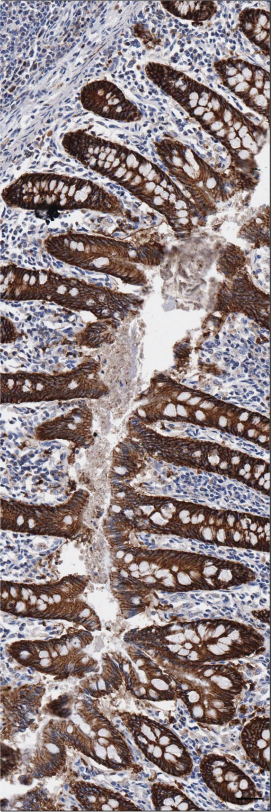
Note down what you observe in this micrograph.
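Colonic mucosa with elongated crypts whose epithelial lining is stained an intense dark brown, interrupted by many clear round mucus vacuoles. The lamina propria between the crypts is crowded with blue-stained nuclei, and some pale amorphous material lies in the lumen.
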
